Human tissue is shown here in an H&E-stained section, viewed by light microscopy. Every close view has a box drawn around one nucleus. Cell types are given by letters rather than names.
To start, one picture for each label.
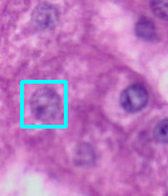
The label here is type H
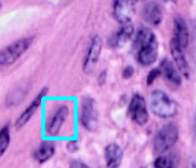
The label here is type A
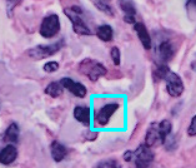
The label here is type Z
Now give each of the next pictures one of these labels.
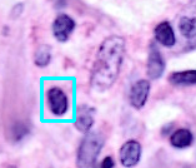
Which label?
type Z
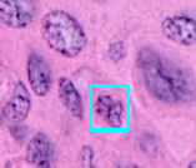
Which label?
type A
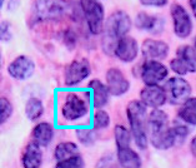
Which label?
type Z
